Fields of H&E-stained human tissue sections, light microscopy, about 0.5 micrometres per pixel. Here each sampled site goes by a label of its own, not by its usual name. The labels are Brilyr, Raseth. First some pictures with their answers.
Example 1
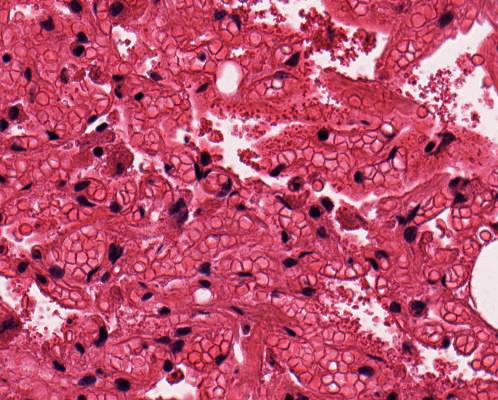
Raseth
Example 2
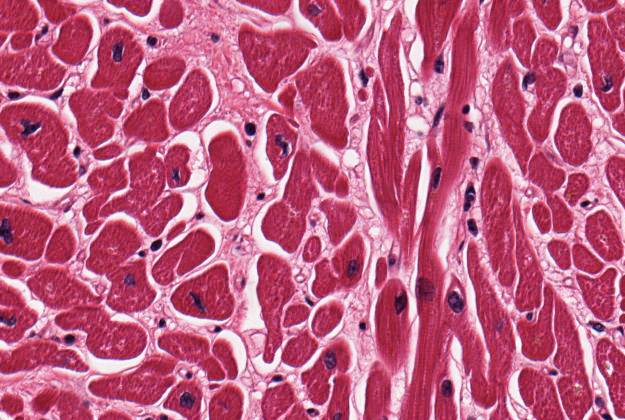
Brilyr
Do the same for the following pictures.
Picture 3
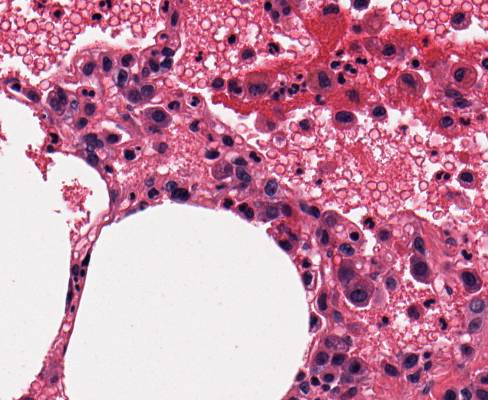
Raseth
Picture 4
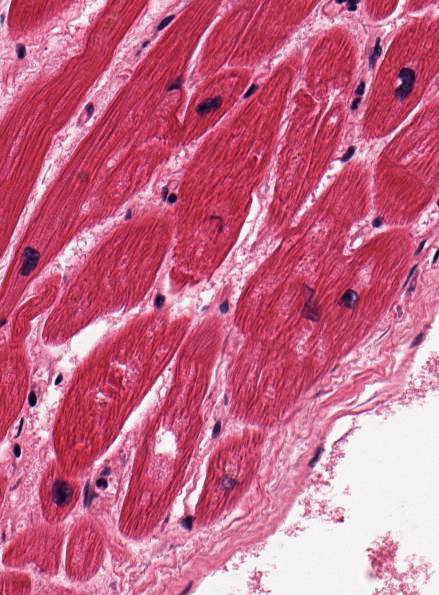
Brilyr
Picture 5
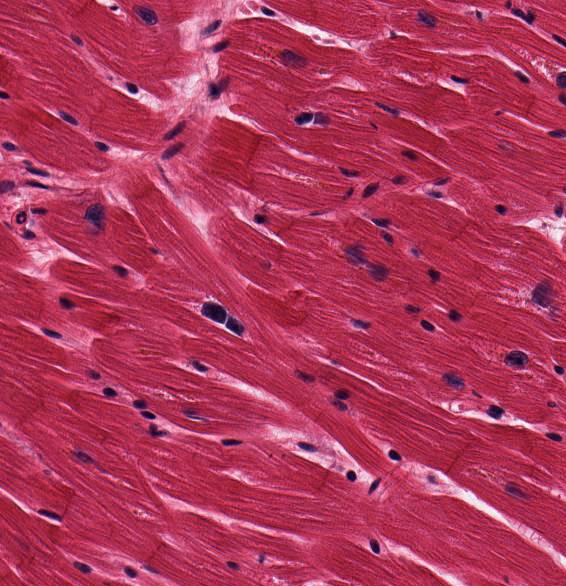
Brilyr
